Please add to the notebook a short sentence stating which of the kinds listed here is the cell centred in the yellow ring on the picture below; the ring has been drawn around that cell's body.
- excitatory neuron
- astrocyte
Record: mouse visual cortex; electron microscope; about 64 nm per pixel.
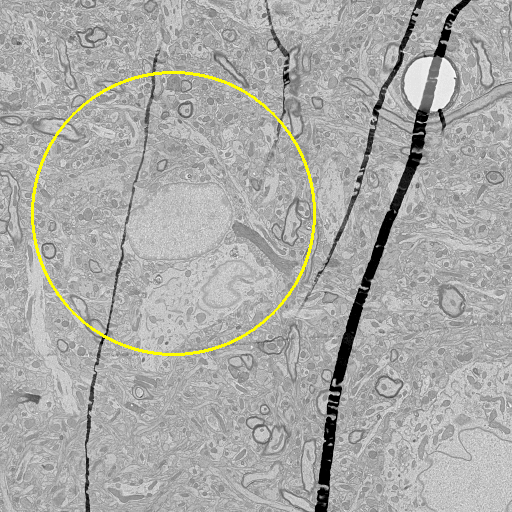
The cell centred in the yellow ring is an astrocyte.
